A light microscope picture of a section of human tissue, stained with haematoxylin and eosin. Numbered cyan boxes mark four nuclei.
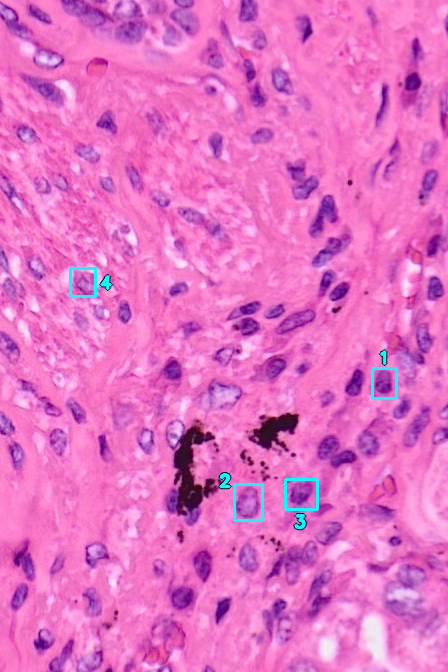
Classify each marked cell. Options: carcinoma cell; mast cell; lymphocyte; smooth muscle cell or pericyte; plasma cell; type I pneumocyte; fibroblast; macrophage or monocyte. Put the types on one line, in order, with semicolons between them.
plasma cell; fibroblast; plasma cell; smooth muscle cell or pericyte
